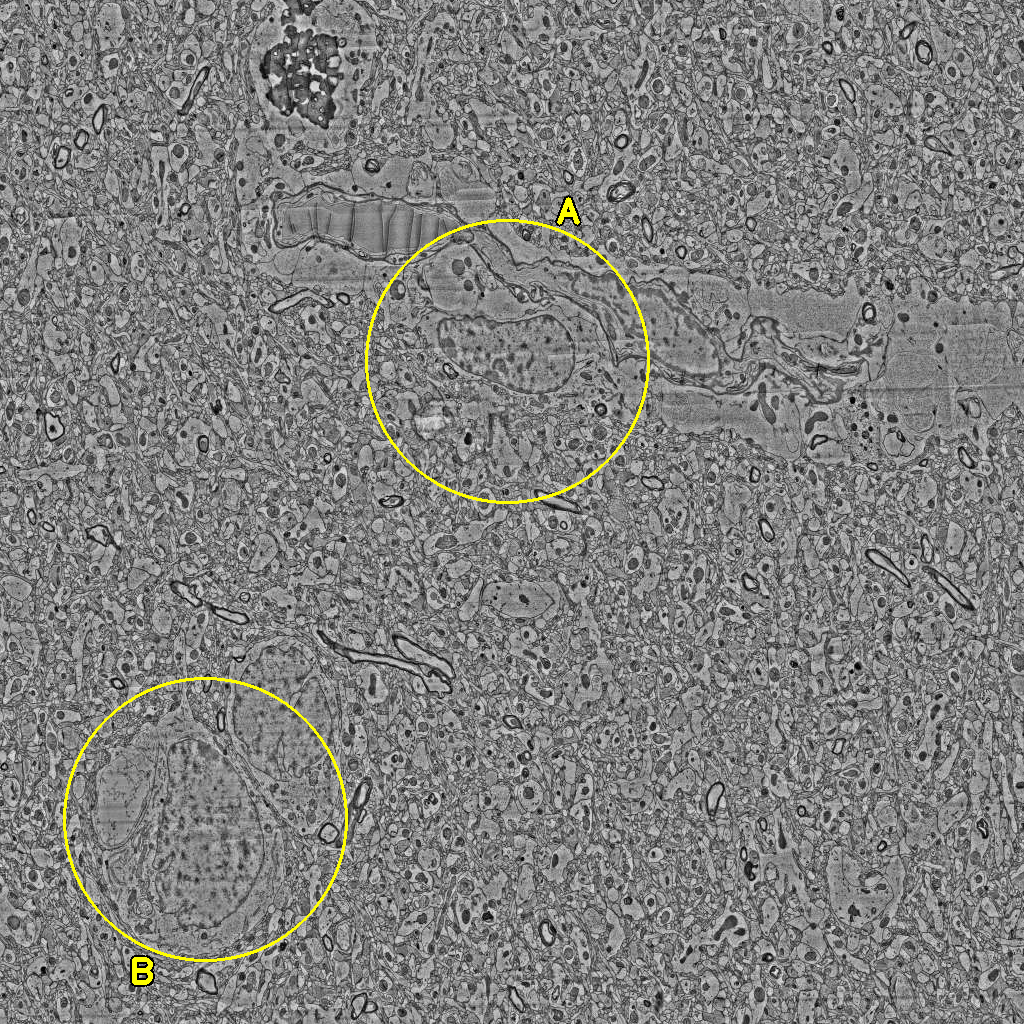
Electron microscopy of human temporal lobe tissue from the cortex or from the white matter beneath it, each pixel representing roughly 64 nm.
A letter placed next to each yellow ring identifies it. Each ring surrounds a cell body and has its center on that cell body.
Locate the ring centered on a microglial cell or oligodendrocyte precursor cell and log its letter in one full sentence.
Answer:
Ring A has at its center the cell that the task asks for.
